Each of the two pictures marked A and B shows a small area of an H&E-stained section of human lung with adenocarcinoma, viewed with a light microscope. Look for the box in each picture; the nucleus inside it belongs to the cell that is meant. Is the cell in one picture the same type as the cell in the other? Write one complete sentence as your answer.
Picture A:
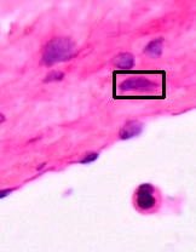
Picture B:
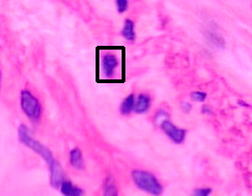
Yes; the cells in both pictures are “smooth muscle cells or pericytes”.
